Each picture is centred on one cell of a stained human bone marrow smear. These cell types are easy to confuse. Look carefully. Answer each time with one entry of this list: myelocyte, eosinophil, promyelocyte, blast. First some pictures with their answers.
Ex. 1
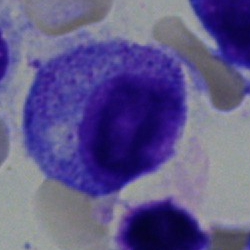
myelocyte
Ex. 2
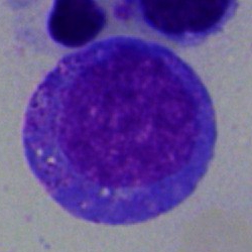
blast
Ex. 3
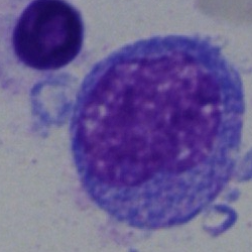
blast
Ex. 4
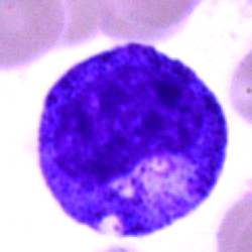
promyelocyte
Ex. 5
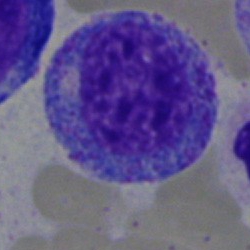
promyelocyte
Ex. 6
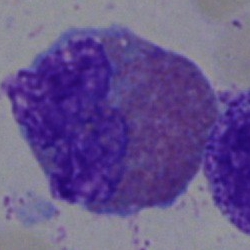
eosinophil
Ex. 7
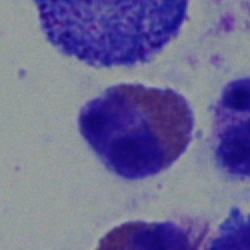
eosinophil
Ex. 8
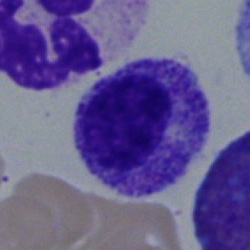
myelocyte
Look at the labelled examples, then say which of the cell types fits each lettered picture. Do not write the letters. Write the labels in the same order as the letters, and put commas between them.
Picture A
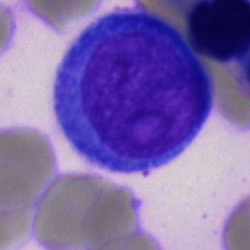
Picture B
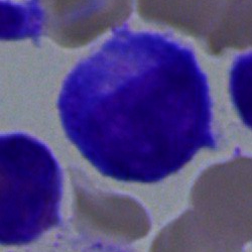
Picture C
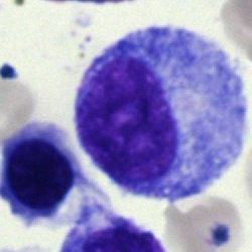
blast, promyelocyte, promyelocyte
